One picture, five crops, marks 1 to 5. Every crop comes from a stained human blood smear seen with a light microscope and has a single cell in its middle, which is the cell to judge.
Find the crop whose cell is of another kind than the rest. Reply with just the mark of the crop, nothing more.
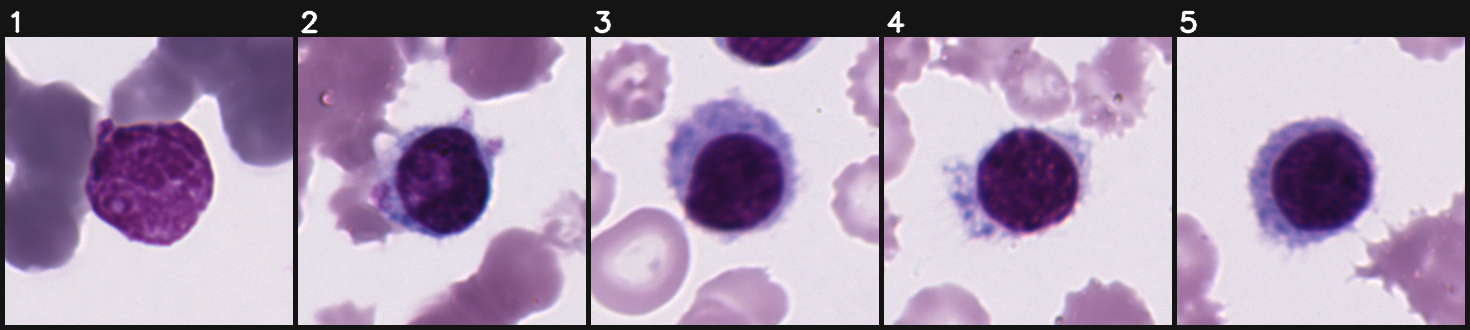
1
